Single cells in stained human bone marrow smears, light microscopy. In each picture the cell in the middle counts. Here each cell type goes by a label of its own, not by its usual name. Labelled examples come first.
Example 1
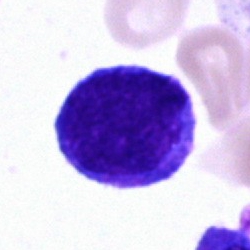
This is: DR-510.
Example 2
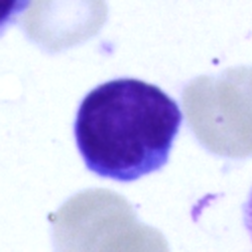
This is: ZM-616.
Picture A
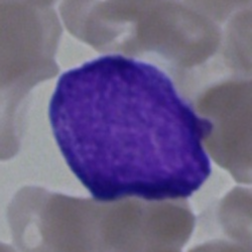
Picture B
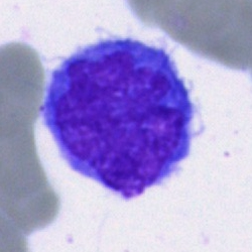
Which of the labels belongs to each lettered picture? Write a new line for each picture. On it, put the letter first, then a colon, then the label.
A: DR-510.
B: DR-510.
